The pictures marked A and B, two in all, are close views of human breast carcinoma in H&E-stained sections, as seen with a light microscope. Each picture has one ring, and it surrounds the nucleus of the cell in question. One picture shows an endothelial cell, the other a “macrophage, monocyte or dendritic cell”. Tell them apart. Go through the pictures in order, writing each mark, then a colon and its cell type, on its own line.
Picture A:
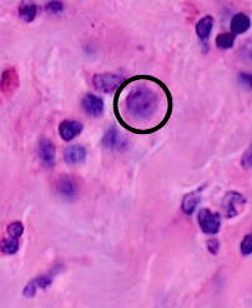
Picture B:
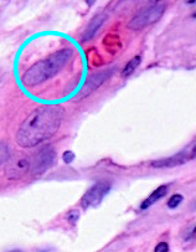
A: macrophage, monocyte or dendritic cell
B: endothelial cell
